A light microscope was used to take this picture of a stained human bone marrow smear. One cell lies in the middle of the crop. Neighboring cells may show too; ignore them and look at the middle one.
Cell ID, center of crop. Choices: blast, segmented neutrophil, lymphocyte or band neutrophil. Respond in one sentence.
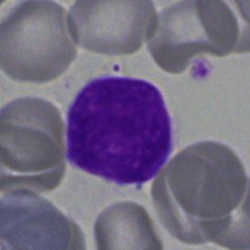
Positioned in the middle of the crop is a lymphocyte.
